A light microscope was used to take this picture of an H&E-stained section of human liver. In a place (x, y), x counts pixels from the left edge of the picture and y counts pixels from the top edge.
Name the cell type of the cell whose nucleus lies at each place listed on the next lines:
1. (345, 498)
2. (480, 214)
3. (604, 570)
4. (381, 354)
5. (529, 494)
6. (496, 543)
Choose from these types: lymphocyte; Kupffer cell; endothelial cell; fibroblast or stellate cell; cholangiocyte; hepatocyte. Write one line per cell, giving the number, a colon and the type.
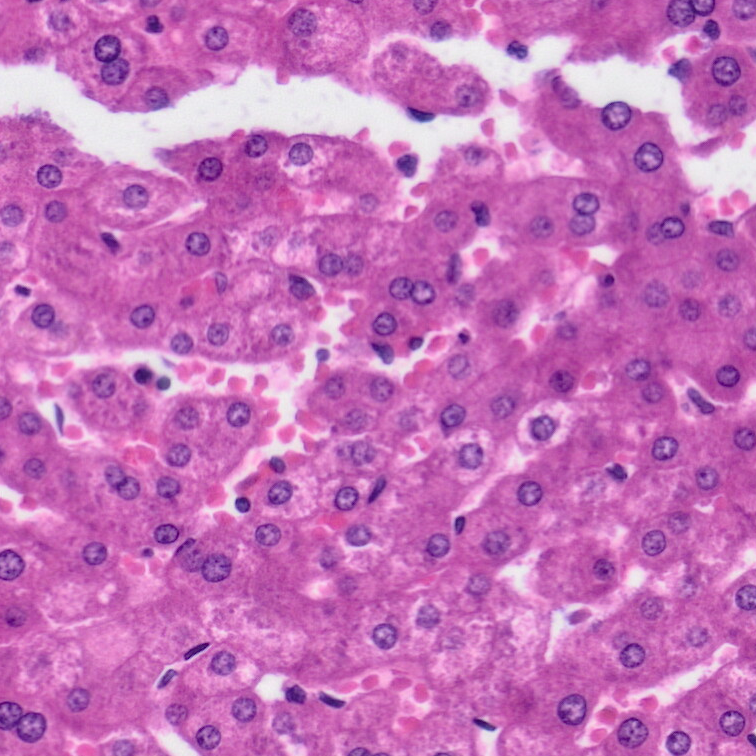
1: hepatocyte
2: fibroblast or stellate cell
3: hepatocyte
4: endothelial cell
5: hepatocyte
6: hepatocyte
